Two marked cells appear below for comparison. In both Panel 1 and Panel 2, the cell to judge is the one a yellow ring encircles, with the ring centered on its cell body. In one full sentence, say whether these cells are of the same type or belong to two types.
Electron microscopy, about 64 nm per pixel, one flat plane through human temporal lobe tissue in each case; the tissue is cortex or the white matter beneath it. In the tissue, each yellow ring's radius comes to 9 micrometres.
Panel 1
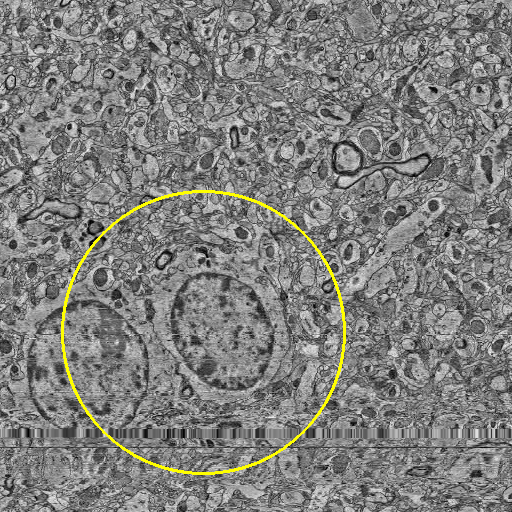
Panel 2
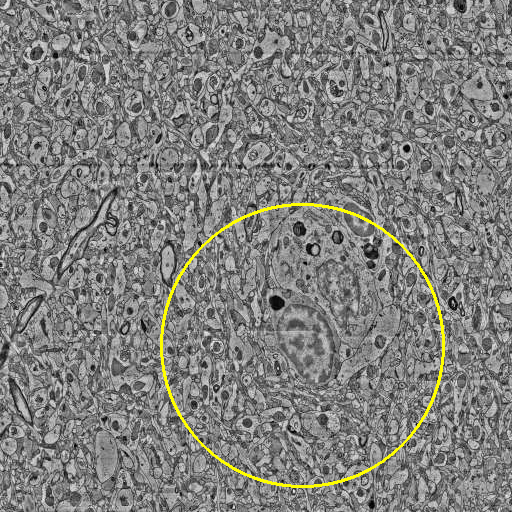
The cell centered in the Panel 1 ring and the one in Panel 2 belong to two types.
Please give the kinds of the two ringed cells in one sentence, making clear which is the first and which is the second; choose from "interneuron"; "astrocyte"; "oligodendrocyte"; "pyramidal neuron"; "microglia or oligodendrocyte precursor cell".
In the second picture the ringed cell is an oligodendrocyte; in the first it is an astrocyte.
